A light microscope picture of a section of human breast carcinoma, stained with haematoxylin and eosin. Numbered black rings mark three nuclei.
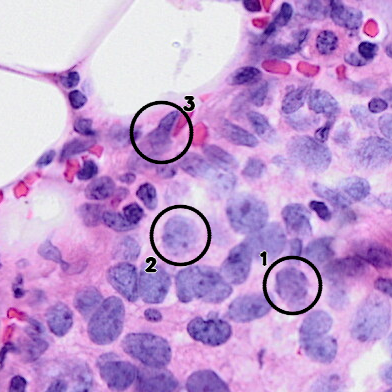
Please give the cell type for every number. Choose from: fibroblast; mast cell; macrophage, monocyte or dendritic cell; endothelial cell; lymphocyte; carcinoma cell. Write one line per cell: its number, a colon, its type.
1: carcinoma cell
2: carcinoma cell
3: endothelial cell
